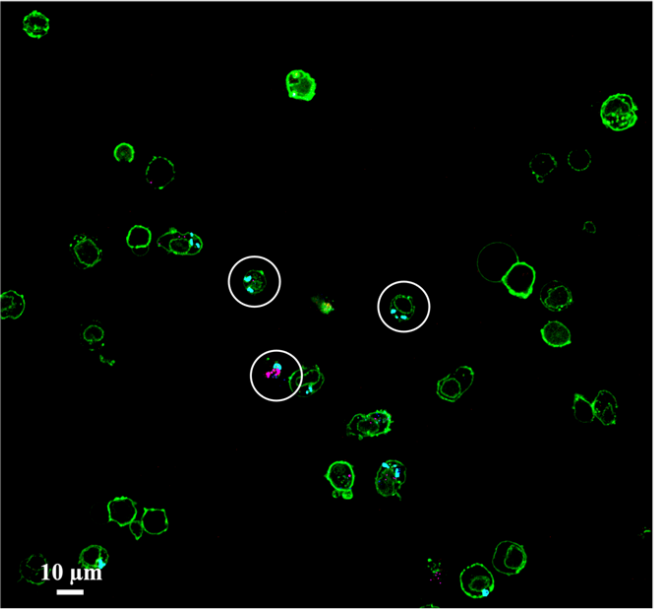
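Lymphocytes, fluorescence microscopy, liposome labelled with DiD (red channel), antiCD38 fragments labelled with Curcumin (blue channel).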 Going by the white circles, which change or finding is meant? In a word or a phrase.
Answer: Internalization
